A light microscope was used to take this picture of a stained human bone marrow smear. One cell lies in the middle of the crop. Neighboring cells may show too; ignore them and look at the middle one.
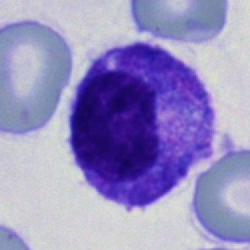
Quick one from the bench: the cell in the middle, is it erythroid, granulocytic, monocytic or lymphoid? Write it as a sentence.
The central cell in this crop should be counted within the granulocytic lineage.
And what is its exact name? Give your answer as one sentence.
By type, the central cell of the crop is a promyelocyte.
